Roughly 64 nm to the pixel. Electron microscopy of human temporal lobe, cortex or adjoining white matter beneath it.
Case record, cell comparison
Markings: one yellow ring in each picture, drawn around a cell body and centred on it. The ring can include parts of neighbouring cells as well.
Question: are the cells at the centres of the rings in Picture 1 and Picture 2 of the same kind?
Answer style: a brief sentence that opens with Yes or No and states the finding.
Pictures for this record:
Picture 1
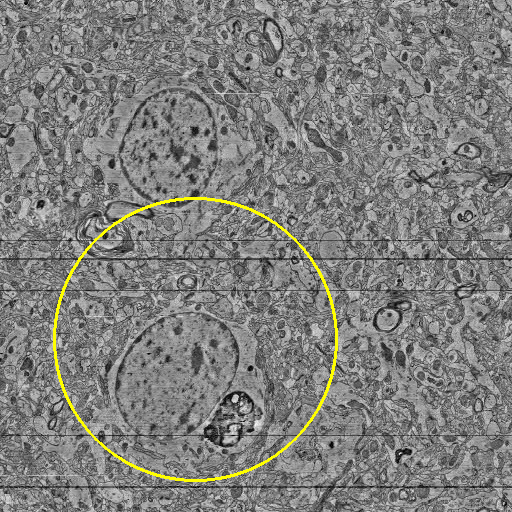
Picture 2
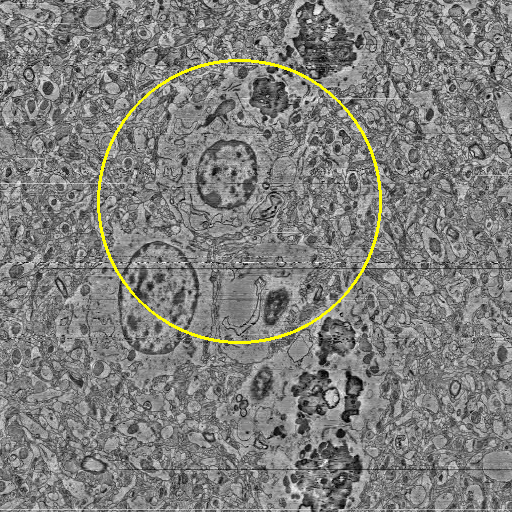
Yes, the cells in Picture 1 and Picture 2 are of the same kind.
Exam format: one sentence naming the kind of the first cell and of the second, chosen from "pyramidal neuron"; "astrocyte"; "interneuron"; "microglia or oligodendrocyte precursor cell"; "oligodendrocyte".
Each one of the two ringed cells is an astrocyte.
